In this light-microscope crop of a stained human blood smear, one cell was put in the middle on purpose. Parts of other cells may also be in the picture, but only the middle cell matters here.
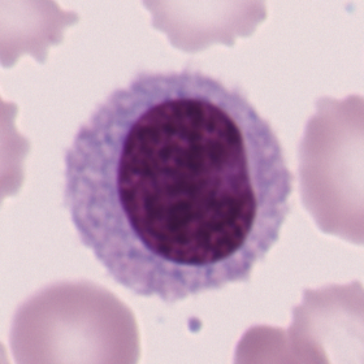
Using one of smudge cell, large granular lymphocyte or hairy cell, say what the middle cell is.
hairy cell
